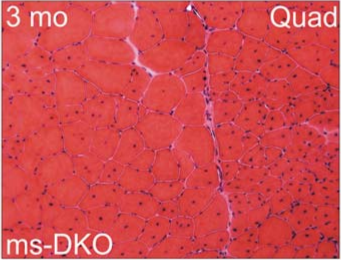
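This cross-section of skeletal muscle shows tightly packed pink polygonal myofibers outlined by thin pale borders. Many fibers carry a single dark blue nucleus placed in the centre of the fiber rather than beneath its edge, marking them as centrally nucleated fibers. Fiber size varies from small to large, and a few thin bands of connective tissue with elongated nuclei run between groups of fibers.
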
